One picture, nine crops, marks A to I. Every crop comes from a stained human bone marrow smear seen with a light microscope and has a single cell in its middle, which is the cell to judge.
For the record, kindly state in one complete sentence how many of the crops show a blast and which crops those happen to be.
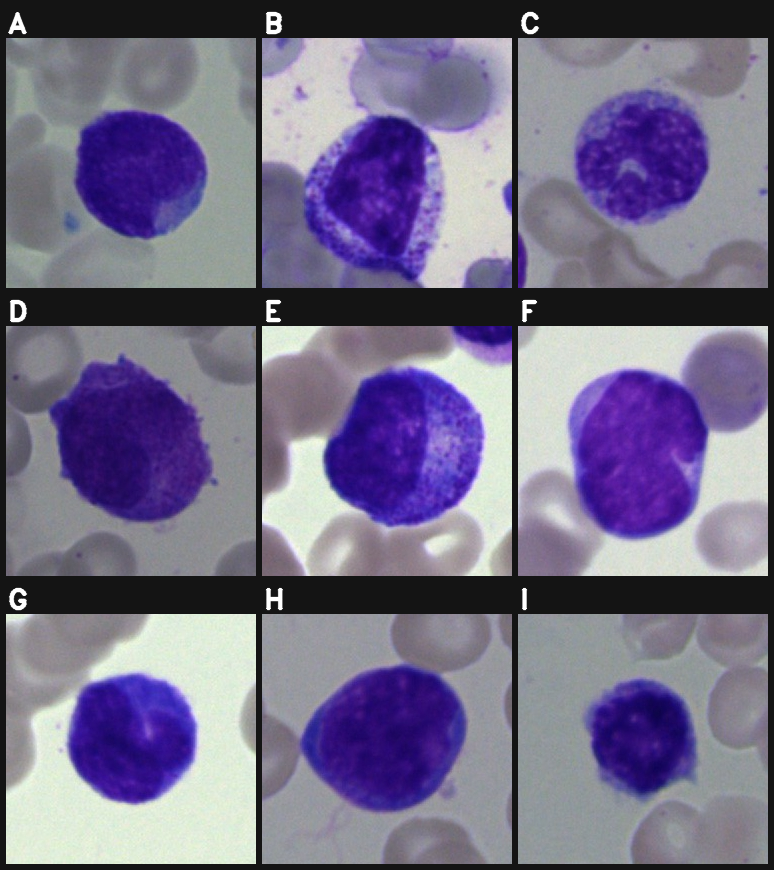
Well, four crops show blasts, and those are A, D, F and H.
